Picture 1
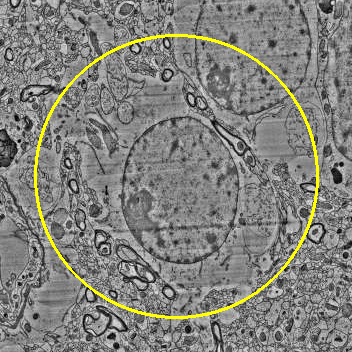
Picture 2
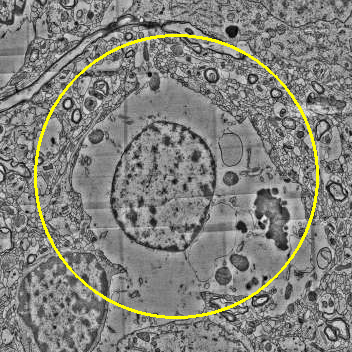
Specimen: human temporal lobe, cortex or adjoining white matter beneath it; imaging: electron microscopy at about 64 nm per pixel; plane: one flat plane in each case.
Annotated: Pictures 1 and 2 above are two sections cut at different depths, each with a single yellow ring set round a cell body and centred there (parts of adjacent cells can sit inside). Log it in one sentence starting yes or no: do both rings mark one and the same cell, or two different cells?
No, two cells, not one, are marked by the yellow rings.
